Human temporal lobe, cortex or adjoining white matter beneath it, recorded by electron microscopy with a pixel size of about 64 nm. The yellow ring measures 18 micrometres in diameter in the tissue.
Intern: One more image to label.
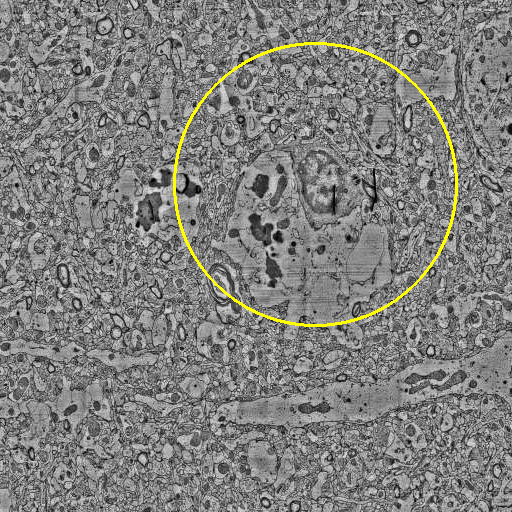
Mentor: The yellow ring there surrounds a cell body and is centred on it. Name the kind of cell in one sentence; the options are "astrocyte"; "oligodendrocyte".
The ring marks the cell body of an oligodendrocyte.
